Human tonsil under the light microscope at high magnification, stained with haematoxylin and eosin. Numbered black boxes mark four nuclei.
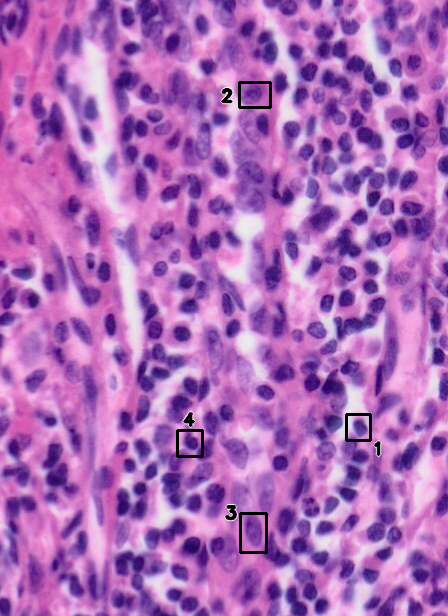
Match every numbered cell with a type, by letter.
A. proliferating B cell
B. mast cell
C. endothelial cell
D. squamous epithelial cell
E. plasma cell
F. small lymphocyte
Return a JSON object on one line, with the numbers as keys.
{"1": "F", "2": "C", "3": "C", "4": "F"}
